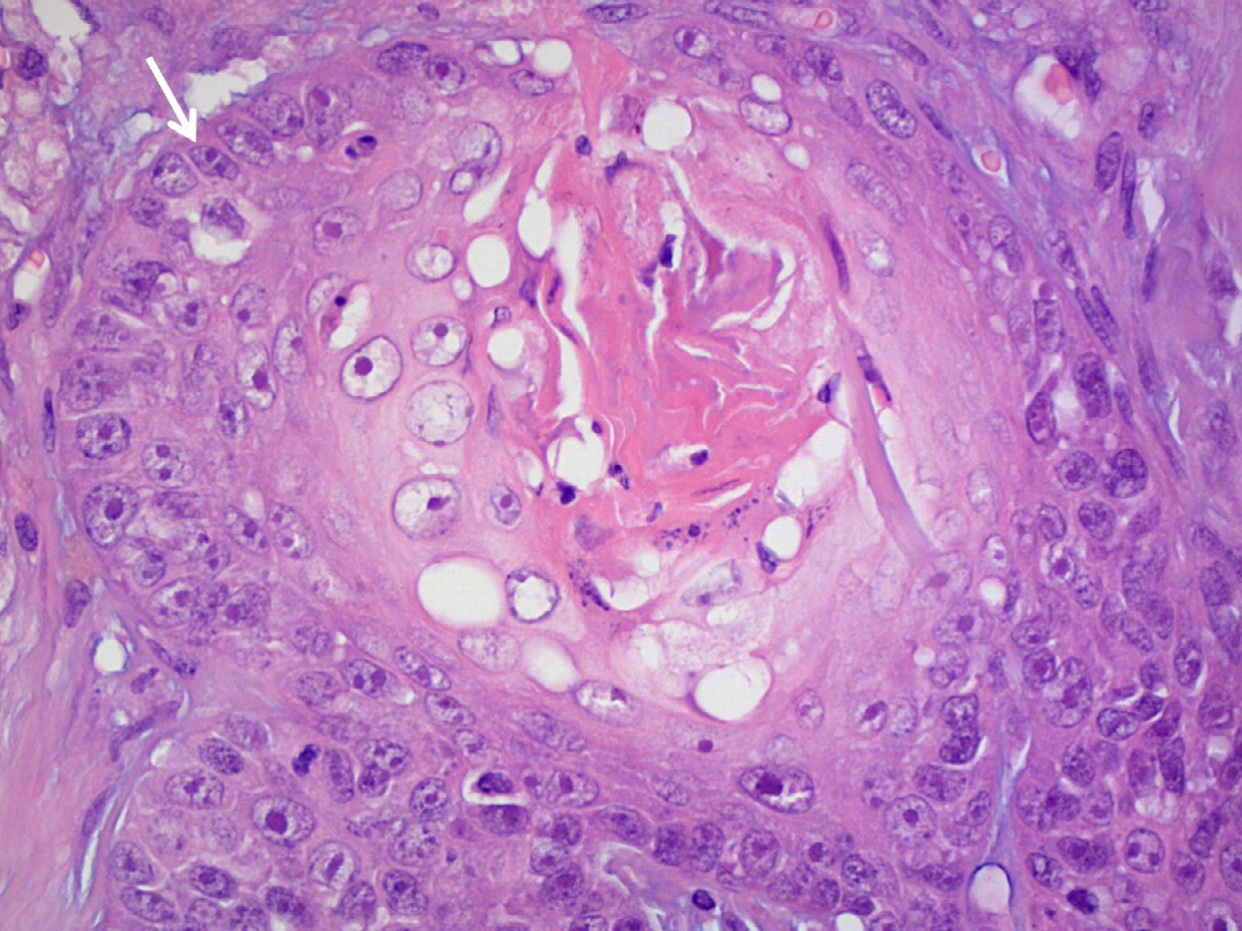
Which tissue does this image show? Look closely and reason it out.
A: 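Squamous cell carcinoma. A nest of large atypical epithelial cells sits within fibrous stroma. The centre of the nest holds concentric pink keratinous material, forming a keratin pearl. The cells have abundant pink cytoplasm that grows more eosinophilic toward the centre.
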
